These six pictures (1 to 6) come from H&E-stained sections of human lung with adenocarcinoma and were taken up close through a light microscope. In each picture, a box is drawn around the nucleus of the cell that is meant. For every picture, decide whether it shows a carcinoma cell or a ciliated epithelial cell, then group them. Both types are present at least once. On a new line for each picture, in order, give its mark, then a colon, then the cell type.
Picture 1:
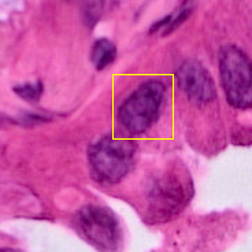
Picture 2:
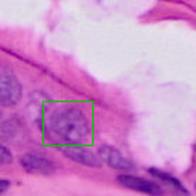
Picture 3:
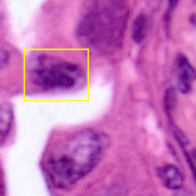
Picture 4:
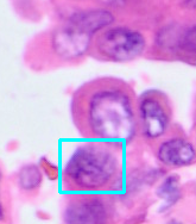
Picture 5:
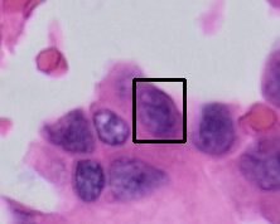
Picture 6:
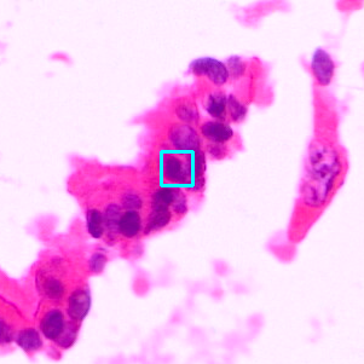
1: carcinoma cell
2: ciliated epithelial cell
3: carcinoma cell
4: carcinoma cell
5: carcinoma cell
6: ciliated epithelial cell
